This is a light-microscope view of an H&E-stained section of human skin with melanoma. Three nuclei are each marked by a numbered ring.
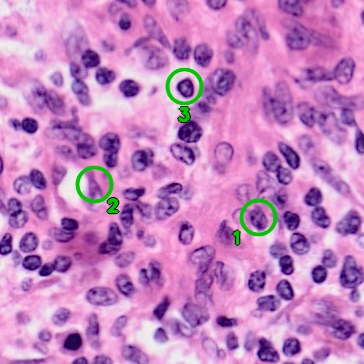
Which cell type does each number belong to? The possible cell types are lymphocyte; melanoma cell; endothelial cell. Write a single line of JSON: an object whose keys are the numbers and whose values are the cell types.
{"1": "lymphocyte", "2": "endothelial cell", "3": "lymphocyte"}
